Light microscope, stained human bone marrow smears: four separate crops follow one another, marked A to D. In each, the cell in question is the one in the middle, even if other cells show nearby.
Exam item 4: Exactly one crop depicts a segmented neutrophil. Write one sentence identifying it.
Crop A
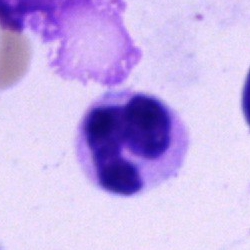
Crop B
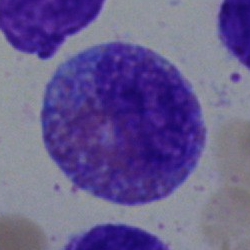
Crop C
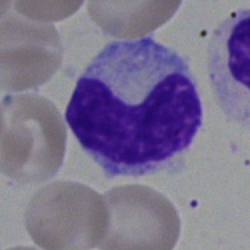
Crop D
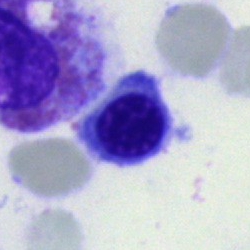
The crop bearing a segmented neutrophil is crop A.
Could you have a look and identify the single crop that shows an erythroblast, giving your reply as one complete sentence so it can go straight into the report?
Look at crop D; that is the one with an erythroblast in its center.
